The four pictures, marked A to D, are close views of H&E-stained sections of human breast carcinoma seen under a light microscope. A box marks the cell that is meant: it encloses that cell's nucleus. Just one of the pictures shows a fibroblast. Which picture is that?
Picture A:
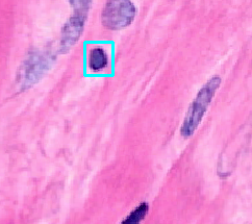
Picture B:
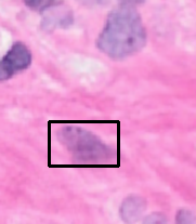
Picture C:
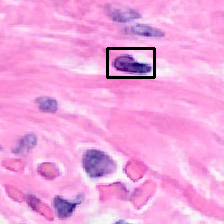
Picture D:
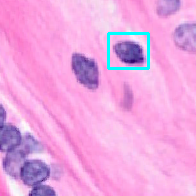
B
